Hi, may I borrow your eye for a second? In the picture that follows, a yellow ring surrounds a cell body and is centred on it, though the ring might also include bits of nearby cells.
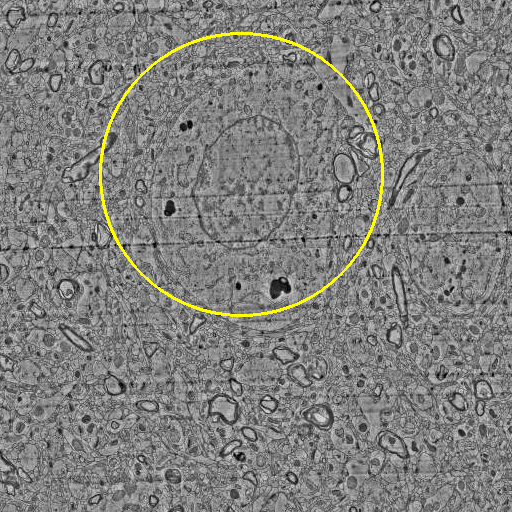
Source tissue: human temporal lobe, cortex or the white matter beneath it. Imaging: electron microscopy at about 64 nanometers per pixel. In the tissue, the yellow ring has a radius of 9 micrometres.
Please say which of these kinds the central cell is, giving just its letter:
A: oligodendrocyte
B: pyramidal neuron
B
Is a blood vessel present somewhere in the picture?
No, there is no blood vessel.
